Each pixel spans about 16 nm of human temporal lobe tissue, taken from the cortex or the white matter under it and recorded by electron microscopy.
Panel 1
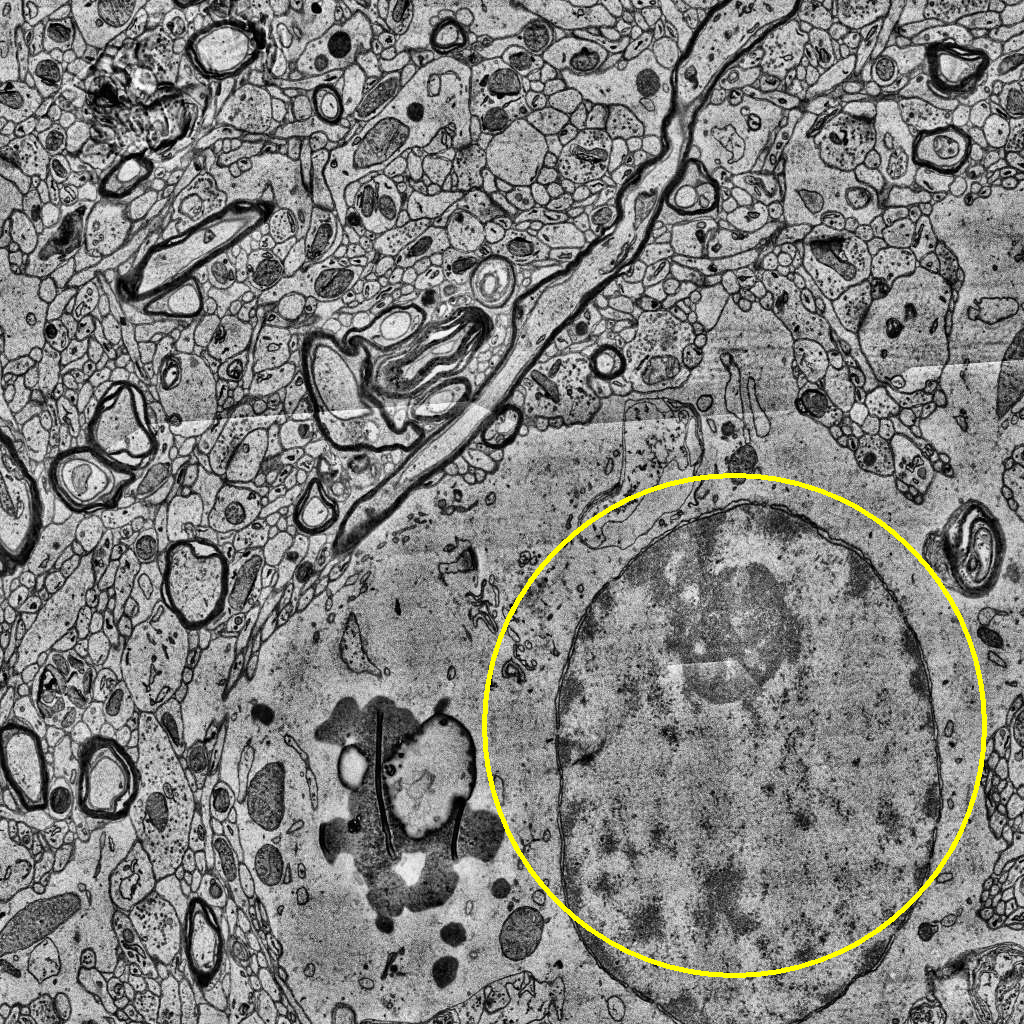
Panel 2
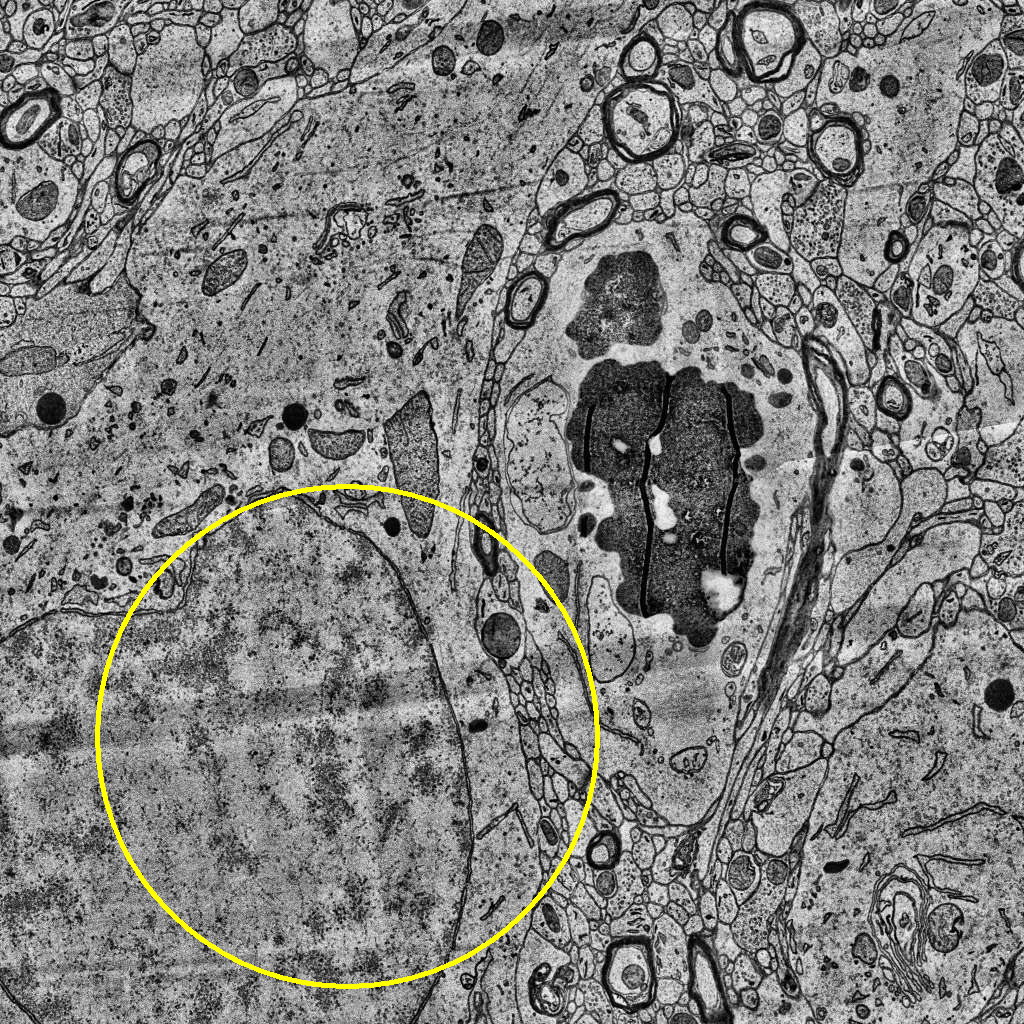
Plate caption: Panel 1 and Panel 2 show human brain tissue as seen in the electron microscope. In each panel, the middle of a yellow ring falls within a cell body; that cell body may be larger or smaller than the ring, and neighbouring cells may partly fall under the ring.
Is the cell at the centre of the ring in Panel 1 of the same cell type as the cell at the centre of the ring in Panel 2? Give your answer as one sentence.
No, the two cells are of two types.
